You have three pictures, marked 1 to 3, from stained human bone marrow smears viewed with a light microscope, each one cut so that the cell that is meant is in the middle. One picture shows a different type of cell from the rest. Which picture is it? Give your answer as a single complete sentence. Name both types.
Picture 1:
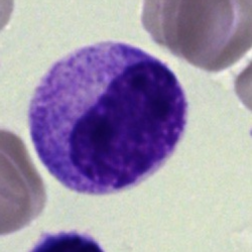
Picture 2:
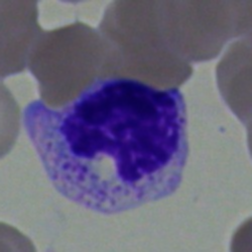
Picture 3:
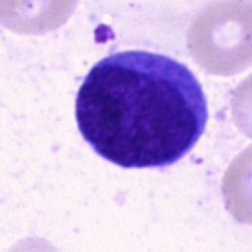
The different one is picture 3; it shows a blast, whereas all the others show myelocytes.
